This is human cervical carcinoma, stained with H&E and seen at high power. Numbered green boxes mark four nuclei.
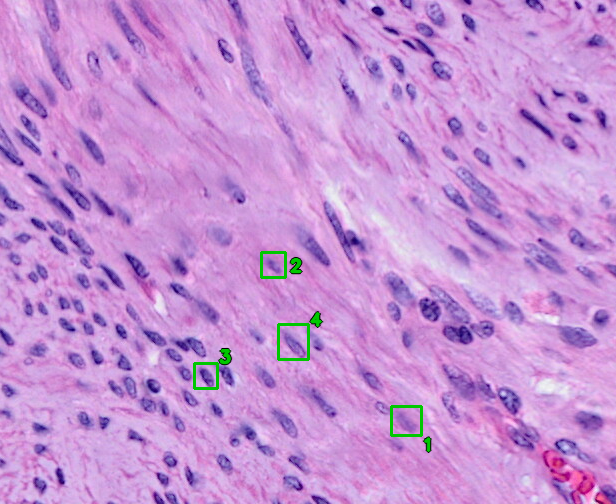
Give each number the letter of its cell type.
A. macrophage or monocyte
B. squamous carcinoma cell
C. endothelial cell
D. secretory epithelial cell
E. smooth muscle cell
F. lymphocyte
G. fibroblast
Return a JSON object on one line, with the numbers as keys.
{"1": "E", "2": "E", "3": "G", "4": "E"}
